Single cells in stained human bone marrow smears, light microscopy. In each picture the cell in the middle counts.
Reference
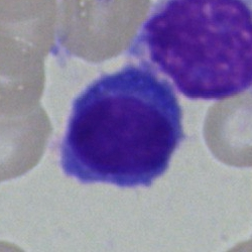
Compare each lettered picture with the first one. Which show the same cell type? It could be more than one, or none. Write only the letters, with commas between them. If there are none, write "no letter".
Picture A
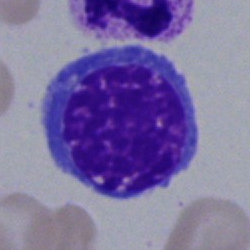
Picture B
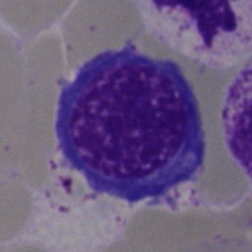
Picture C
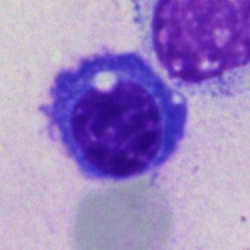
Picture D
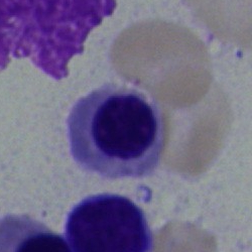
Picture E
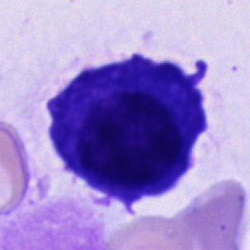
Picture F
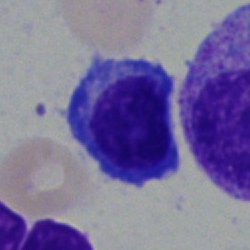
C, E, F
